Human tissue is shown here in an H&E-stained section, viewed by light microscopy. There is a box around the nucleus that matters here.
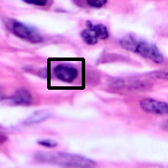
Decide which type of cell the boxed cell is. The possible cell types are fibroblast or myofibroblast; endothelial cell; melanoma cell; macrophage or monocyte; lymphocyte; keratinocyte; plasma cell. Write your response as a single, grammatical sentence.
As for its identity, the boxed cell is a plasma cell.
